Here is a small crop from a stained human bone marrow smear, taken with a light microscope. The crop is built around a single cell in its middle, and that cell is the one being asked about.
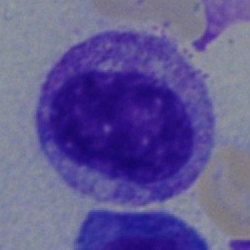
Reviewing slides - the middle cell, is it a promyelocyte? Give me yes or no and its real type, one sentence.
No, the centre of the crop is taken up by a myelocyte, not a promyelocyte.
